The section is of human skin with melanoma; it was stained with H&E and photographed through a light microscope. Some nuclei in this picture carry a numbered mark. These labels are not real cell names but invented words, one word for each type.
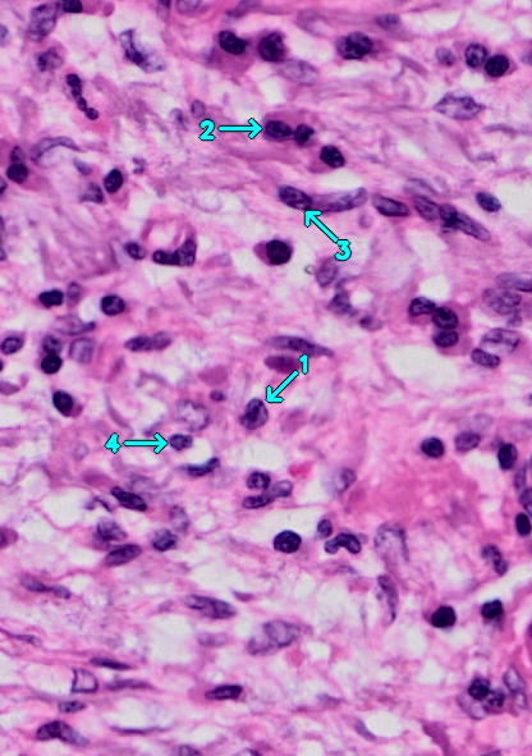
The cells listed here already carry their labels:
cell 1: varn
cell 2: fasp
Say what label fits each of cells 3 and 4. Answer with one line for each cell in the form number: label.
3: fasp
4: varn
